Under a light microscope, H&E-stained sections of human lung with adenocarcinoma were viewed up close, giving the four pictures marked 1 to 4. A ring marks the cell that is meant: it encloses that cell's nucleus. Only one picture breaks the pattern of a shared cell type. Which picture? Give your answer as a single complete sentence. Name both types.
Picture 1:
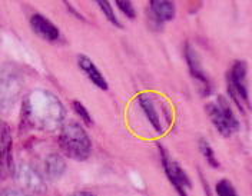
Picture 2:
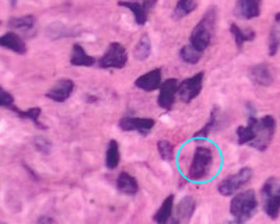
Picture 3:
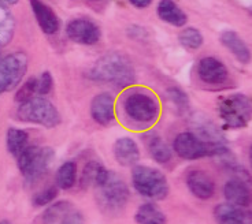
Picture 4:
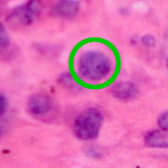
All pictures except 1 show plasma cells; picture 1 shows a fibroblast.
